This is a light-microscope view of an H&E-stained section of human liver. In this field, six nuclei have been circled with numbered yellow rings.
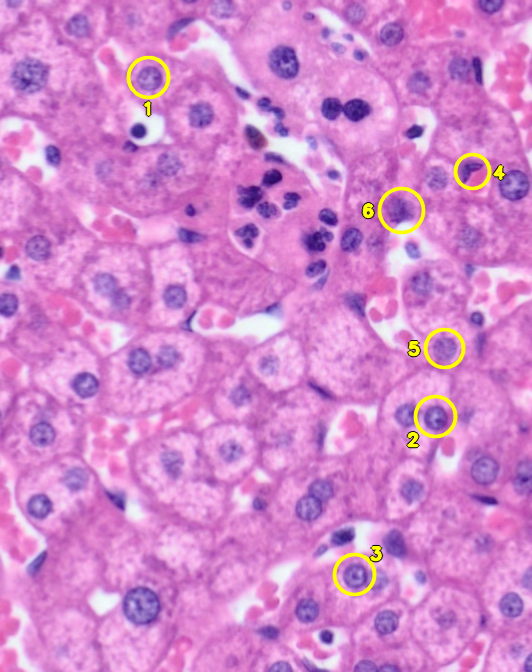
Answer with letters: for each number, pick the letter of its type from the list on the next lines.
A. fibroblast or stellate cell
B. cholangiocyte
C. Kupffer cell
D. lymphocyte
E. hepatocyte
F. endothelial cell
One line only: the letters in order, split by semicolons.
E; E; E; F; E; F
